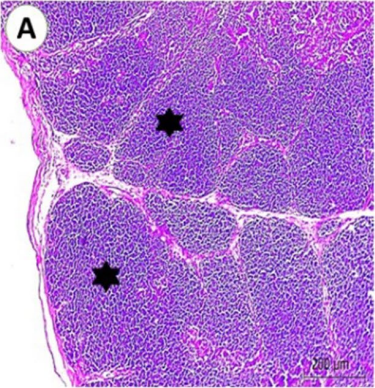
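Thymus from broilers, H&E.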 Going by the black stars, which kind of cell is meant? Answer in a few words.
lymphocyte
